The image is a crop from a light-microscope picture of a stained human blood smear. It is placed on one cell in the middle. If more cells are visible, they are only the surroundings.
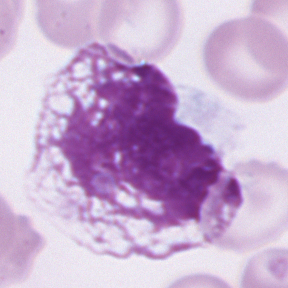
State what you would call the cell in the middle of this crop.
smudge cell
